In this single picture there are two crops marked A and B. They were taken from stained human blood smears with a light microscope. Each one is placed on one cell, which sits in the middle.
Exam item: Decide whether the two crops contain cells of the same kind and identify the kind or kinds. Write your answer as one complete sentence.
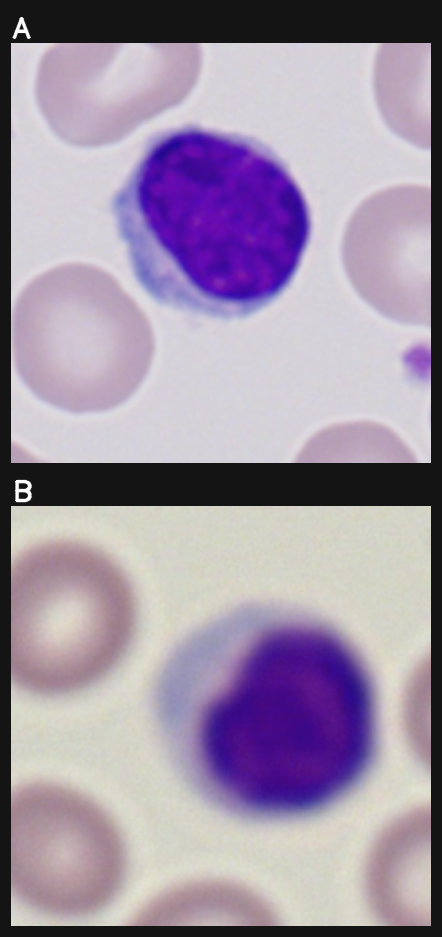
Yes, both the first crop and the second crop show lymphocytes.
